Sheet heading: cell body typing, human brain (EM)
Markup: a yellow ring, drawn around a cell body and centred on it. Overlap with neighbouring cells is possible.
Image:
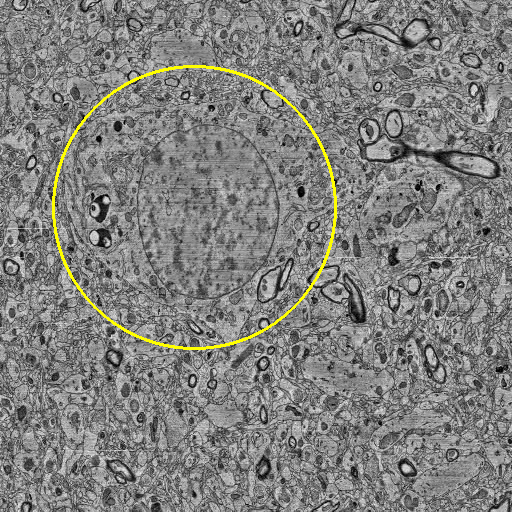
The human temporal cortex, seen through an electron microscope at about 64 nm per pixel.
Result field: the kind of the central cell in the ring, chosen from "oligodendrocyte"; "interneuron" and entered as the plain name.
interneuron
